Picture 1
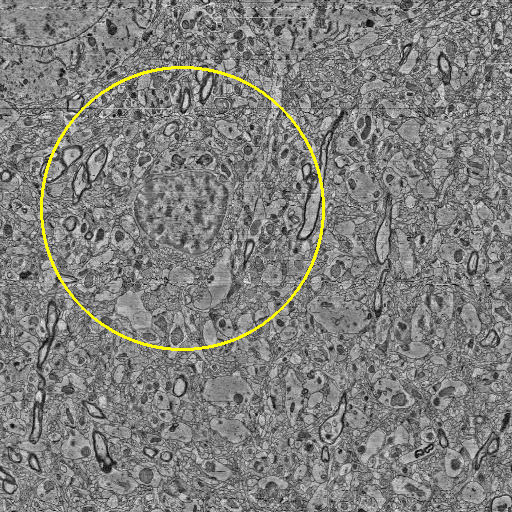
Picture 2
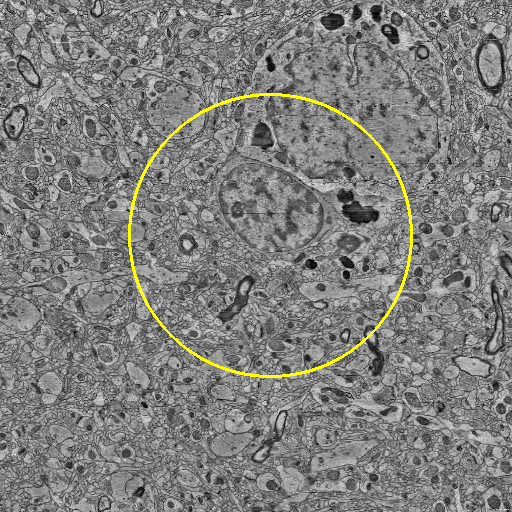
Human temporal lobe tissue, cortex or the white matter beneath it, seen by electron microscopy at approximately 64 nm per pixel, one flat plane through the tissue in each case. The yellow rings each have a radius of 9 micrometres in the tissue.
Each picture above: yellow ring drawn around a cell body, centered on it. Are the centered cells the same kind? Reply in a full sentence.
Yes, the two cells are the same kind.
